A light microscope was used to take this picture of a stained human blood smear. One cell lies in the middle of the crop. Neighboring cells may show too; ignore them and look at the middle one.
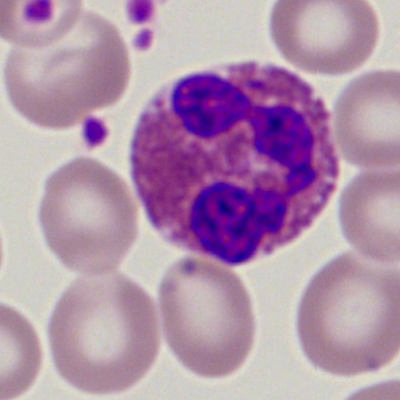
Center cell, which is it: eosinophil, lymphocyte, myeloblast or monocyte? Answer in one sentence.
Seen at the centre of the crop is an eosinophil.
